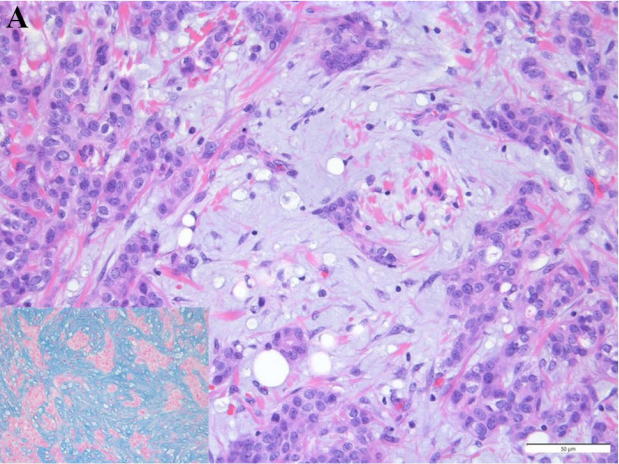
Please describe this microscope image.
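This is tumor tissue in which nests of epithelial tumor cells are set in a myxoid stroma. The tumor cells are crowded, with large round to oval nuclei and moderate pink cytoplasm, forming irregular clusters and cords. Between them lies a pale grey-blue, amorphous matrix with only a few scattered nuclei and some clear vacuoles. In the inset the same matrix stains blue around pink cell clusters.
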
